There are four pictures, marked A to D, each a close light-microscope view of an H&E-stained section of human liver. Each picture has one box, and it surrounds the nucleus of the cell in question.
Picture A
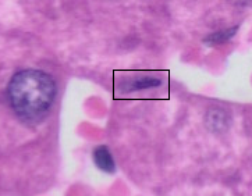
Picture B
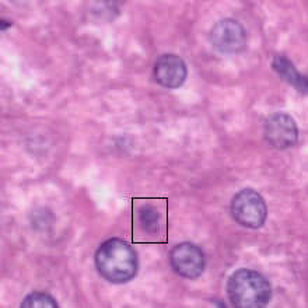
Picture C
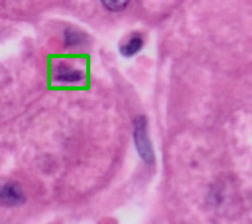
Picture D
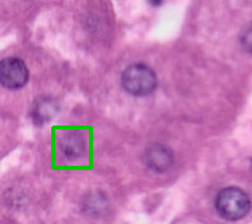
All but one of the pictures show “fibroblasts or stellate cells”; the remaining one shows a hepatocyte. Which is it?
D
